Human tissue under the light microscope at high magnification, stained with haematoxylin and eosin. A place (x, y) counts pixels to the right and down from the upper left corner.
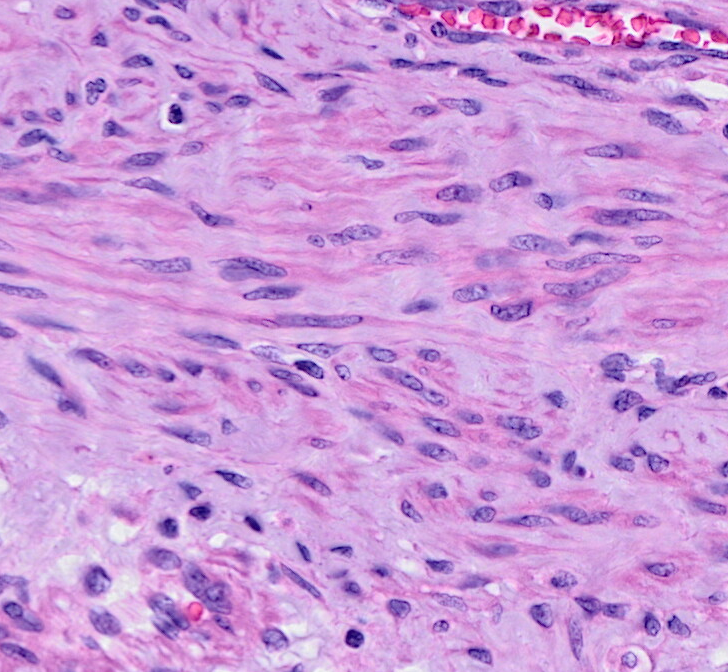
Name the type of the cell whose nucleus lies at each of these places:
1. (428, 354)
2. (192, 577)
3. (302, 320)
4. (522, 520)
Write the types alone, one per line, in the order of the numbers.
smooth muscle cell
endothelial cell
smooth muscle cell
smooth muscle cell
